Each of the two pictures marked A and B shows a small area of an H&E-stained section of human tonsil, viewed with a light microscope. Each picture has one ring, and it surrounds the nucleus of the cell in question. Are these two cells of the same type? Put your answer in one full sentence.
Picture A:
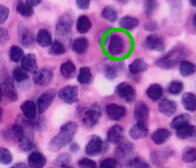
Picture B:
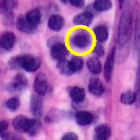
No, picture A shows an endothelial cell and picture B shows a small lymphocyte.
